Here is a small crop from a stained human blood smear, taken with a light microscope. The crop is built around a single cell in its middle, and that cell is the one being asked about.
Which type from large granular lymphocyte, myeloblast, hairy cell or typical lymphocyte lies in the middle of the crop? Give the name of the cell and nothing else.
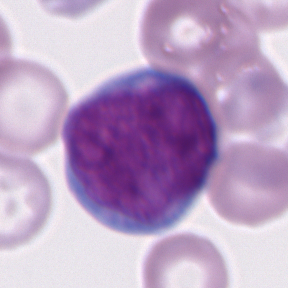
myeloblast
